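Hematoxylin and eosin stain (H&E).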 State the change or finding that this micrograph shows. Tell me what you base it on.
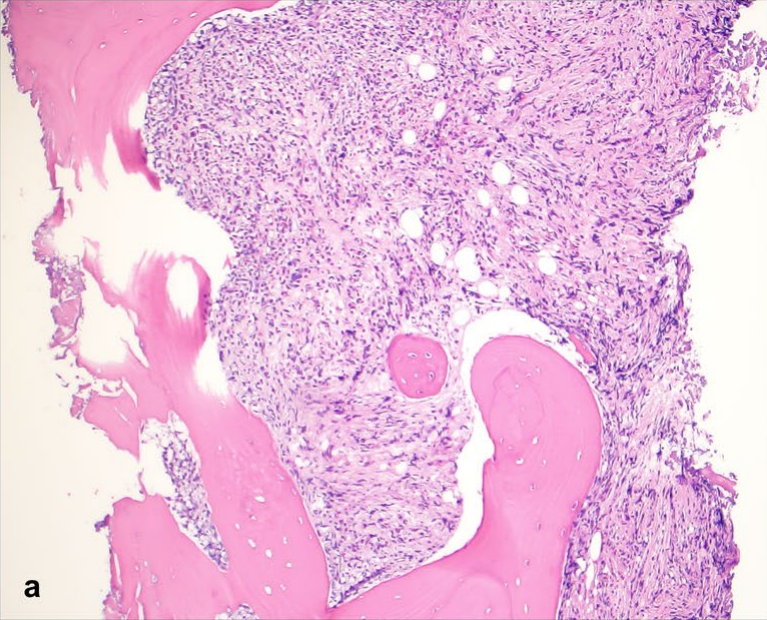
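Pink bony trabeculae border a marrow space packed with cells. Very few clear fat spaces remain between the cells. Many elongated spindle-shaped nuclei run in streaming, fascicle-like bundles.
Conclusion: hypercellular bone marrow with fibrosis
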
